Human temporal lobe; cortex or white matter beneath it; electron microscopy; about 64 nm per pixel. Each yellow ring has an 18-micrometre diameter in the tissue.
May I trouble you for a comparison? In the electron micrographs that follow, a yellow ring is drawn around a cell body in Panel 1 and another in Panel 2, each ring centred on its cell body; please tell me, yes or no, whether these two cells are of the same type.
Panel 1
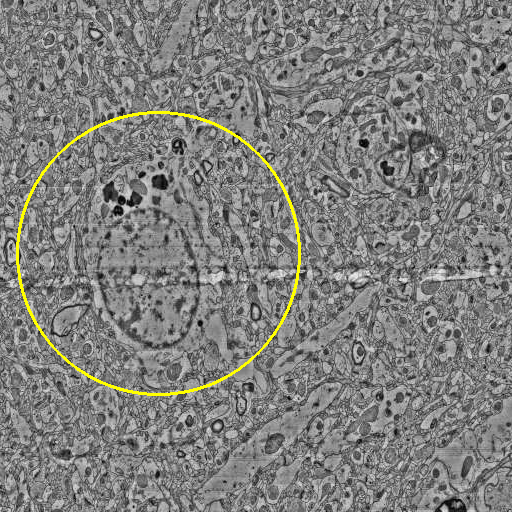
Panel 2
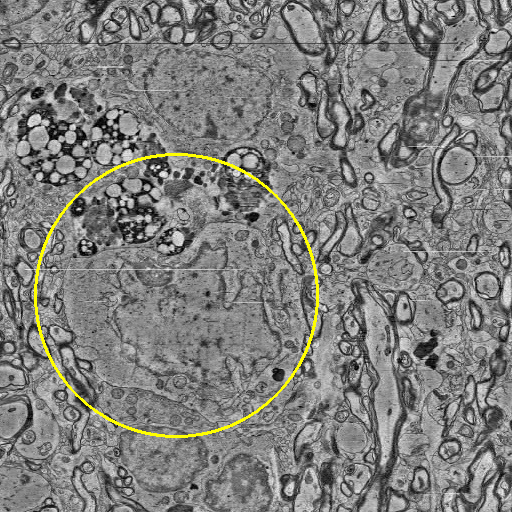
no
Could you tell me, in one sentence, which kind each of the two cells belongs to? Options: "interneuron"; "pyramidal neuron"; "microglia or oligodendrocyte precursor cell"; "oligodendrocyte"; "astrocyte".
At the centre of the first ring sits an astrocyte, and at the centre of the second sits an interneuron.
